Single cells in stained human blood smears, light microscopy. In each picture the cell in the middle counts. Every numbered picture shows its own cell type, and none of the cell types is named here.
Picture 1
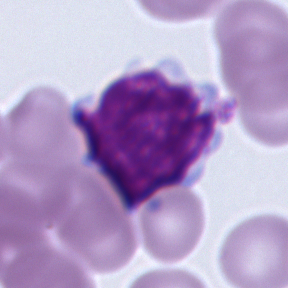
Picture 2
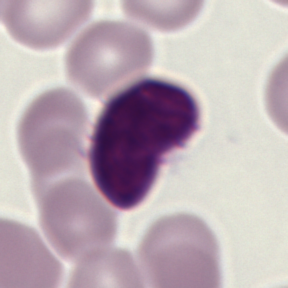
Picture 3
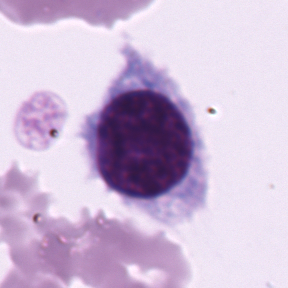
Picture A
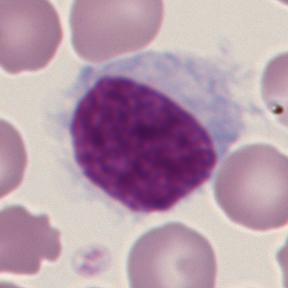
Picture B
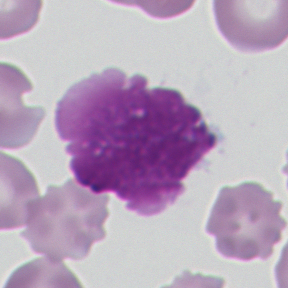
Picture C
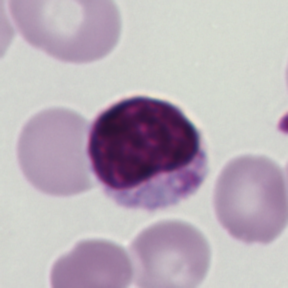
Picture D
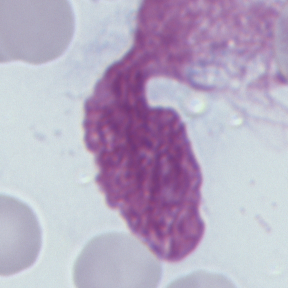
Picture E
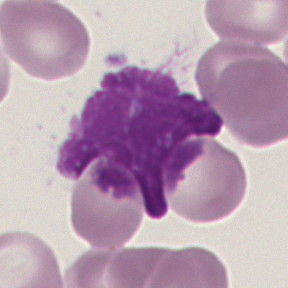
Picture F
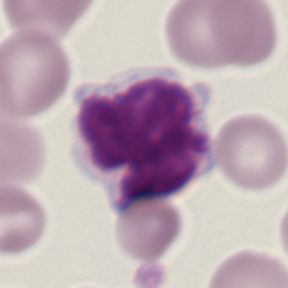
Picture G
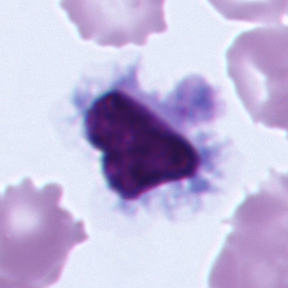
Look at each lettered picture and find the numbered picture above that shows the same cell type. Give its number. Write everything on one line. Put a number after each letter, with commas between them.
A 3, B 2, C 1, D 2, E 2, F 1, G 3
